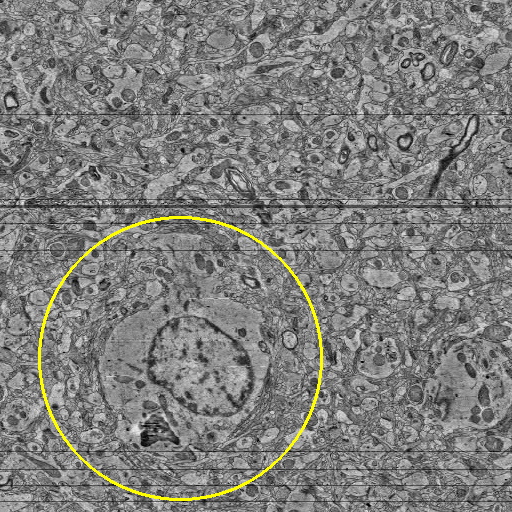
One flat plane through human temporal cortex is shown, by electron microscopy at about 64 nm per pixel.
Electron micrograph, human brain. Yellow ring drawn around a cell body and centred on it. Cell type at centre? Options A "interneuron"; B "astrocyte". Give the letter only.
B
